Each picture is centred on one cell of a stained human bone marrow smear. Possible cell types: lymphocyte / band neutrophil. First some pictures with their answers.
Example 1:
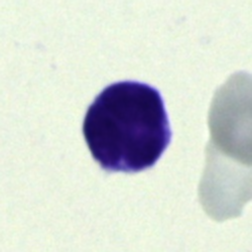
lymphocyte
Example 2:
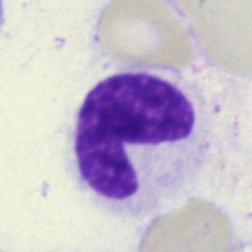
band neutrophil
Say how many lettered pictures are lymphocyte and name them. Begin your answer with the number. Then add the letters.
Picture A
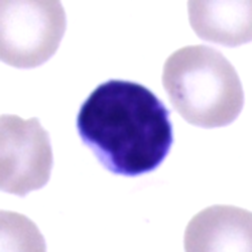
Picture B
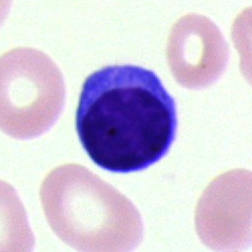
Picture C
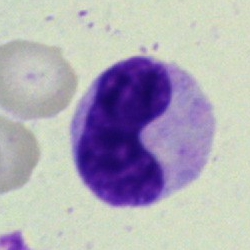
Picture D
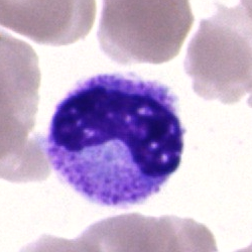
2, namely A, B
